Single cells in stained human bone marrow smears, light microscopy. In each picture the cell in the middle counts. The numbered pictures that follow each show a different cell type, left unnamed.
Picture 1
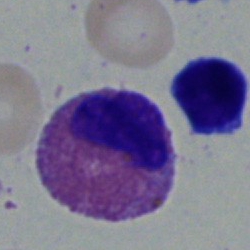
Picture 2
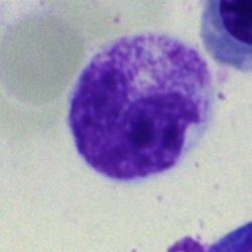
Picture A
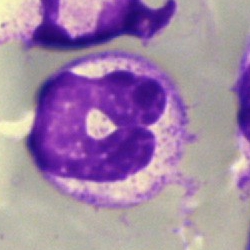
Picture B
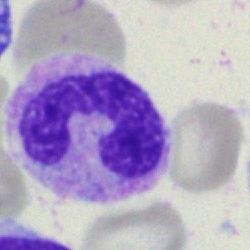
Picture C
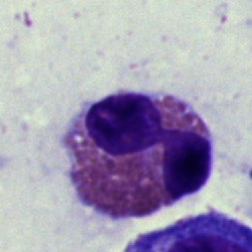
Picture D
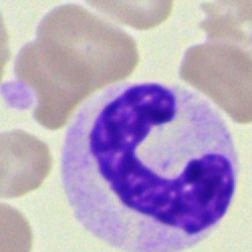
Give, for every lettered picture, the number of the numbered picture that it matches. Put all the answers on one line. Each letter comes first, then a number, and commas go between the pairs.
A 2, B 2, C 1, D 2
